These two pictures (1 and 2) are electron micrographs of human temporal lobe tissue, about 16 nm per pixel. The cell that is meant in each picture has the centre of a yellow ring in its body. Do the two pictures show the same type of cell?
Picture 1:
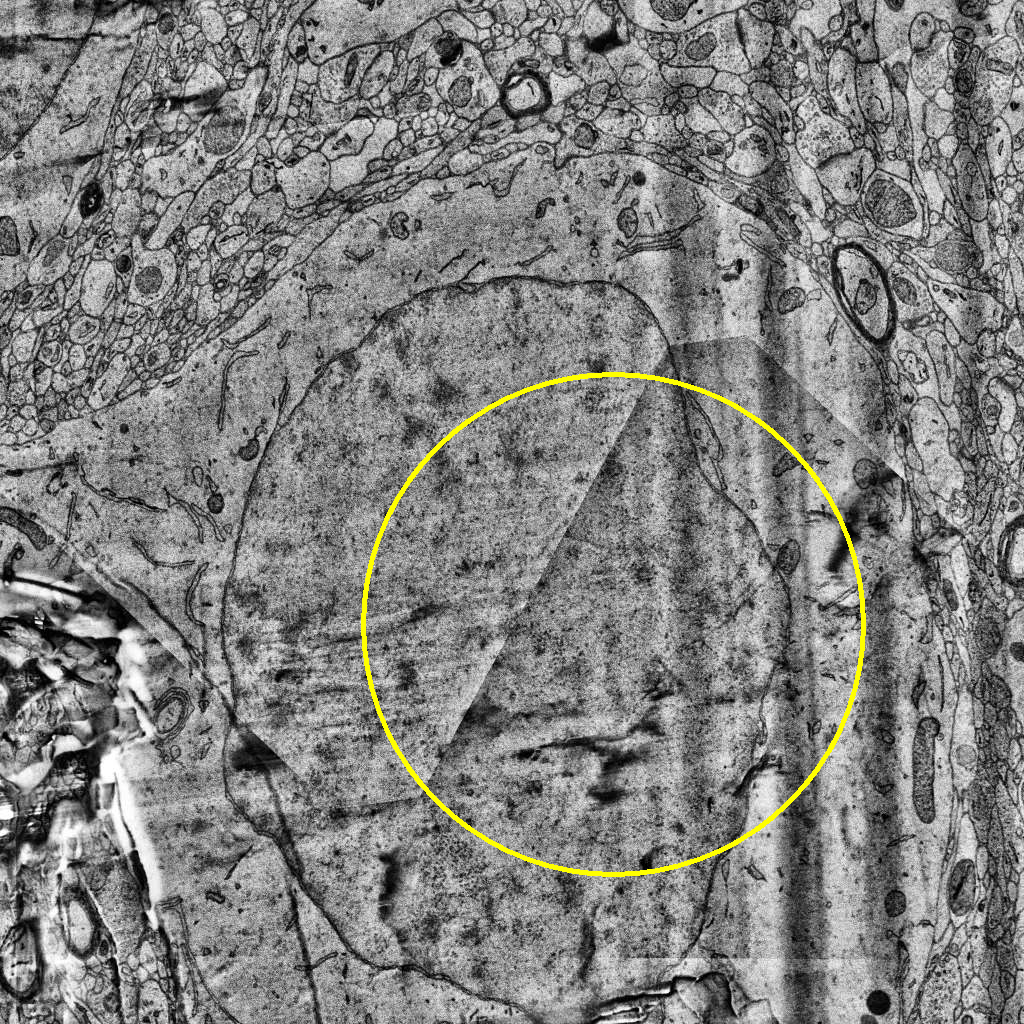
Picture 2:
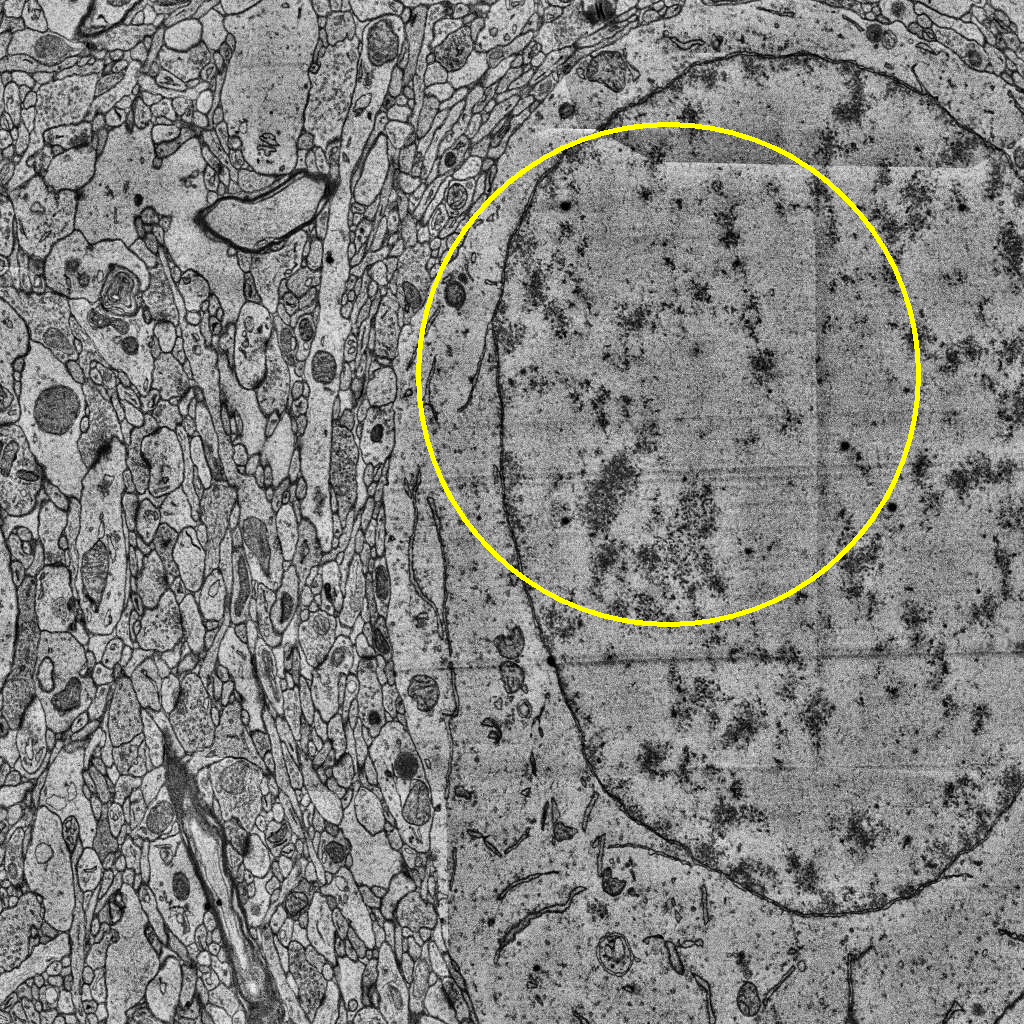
Yes, they are the same type: both are pyramidal neurons.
